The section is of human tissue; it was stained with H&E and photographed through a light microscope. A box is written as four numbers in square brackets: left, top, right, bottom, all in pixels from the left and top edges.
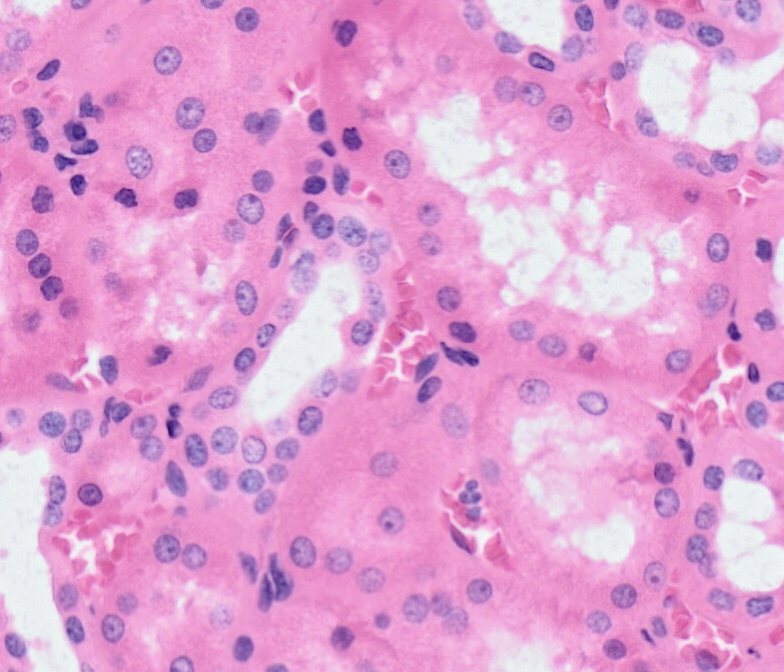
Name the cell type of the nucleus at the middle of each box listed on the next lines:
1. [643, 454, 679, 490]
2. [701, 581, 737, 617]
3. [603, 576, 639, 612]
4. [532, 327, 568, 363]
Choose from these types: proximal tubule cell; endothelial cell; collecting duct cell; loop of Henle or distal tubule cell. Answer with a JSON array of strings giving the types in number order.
["proximal tubule cell", "loop of Henle or distal tubule cell", "proximal tubule cell", "proximal tubule cell"]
